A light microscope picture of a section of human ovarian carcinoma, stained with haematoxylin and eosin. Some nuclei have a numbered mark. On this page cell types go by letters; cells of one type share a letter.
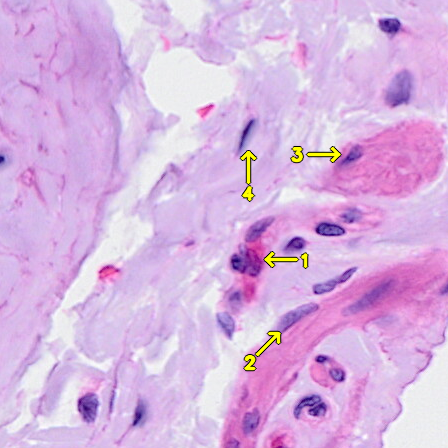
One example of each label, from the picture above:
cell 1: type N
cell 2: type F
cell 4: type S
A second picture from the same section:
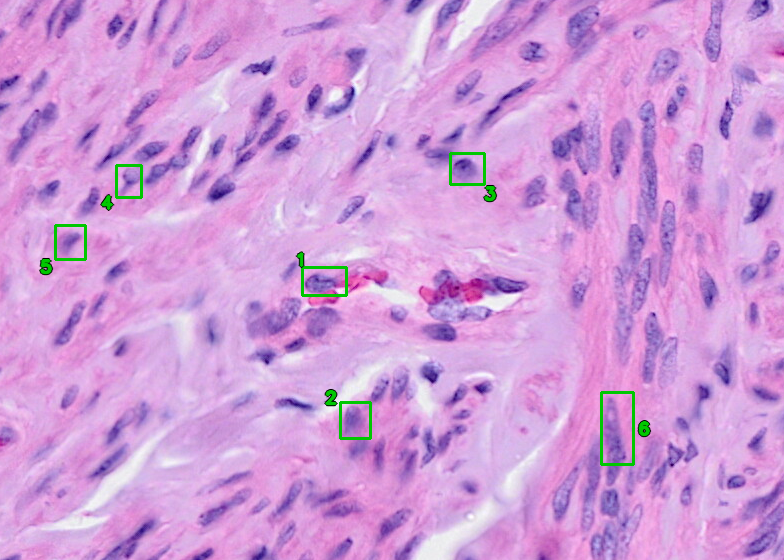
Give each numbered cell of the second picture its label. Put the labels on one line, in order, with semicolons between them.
type N; type F; type S; type F; type F; type F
